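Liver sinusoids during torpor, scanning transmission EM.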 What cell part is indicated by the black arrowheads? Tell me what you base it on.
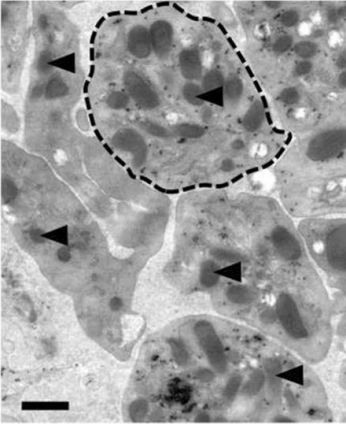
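The arrowheads point to dark, round to oval, membrane-bound bodies inside the cytoplasm. Several such dense bodies lie in each cell profile. That points to this answer: granules.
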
